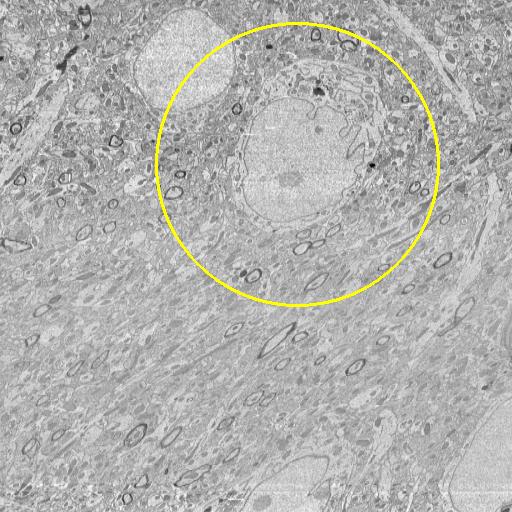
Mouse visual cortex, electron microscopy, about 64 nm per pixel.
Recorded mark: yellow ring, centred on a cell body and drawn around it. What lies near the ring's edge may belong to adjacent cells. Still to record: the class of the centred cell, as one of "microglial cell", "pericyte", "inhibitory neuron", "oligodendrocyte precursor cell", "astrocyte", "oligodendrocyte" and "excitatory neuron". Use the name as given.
inhibitory neuron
